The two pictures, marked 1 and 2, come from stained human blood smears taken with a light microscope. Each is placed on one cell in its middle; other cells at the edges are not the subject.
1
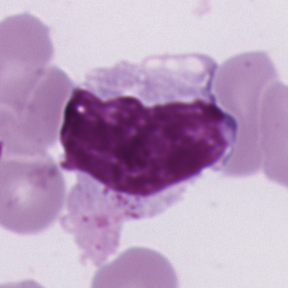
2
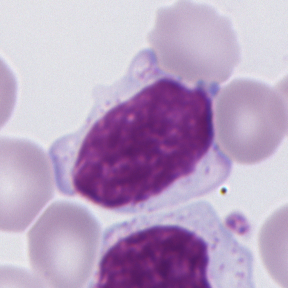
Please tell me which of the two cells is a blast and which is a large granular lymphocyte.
1: blast
2: large granular lymphocyte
